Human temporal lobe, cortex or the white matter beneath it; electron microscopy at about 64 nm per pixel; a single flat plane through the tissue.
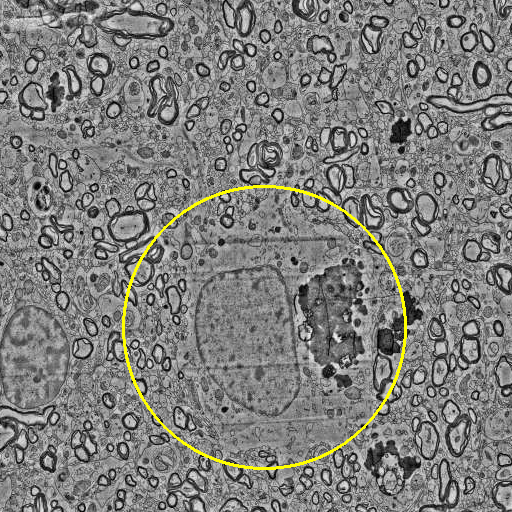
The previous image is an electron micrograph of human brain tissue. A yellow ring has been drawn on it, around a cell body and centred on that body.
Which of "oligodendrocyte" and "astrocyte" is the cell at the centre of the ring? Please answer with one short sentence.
The cell body at the centre of the ring belongs to an astrocyte.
